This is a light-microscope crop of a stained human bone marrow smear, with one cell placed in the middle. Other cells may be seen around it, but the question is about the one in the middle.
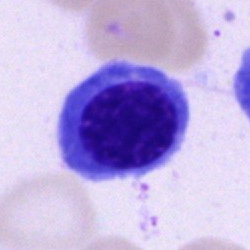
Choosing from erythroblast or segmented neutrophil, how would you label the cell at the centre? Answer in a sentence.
The middle of this crop holds an erythroblast.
